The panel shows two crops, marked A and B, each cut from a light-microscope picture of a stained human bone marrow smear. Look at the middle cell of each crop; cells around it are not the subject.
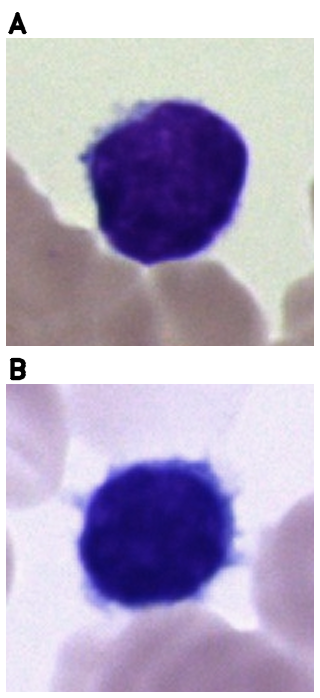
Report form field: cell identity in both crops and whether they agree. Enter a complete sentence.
Yes, the cells that both crops show at the centre are lymphocytes.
